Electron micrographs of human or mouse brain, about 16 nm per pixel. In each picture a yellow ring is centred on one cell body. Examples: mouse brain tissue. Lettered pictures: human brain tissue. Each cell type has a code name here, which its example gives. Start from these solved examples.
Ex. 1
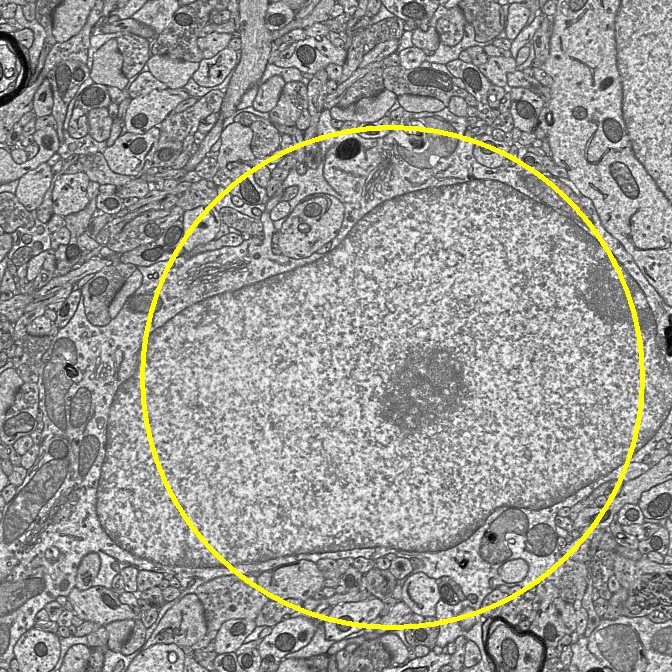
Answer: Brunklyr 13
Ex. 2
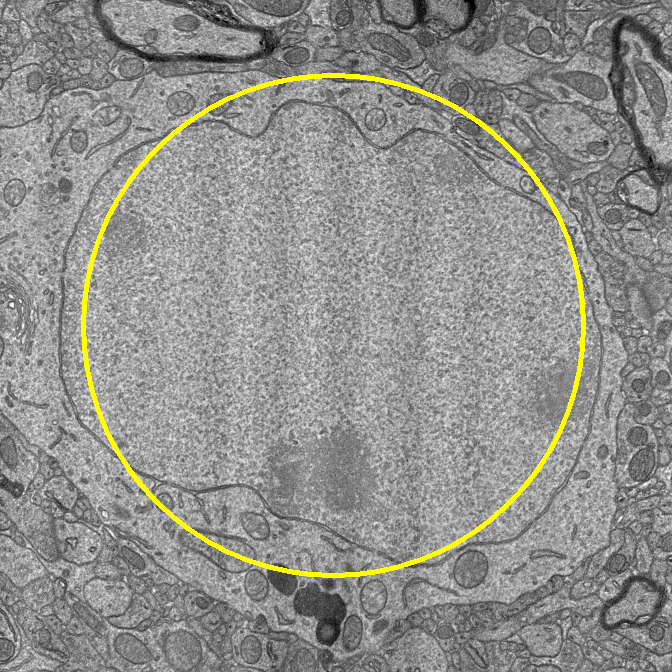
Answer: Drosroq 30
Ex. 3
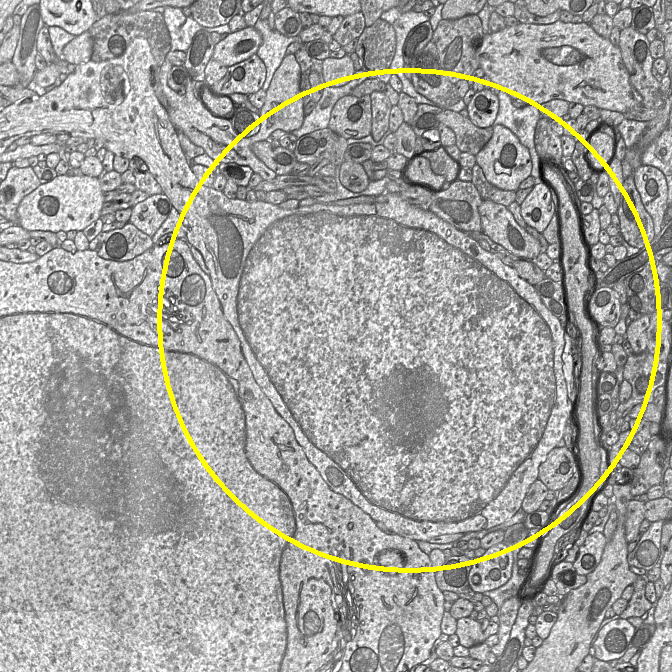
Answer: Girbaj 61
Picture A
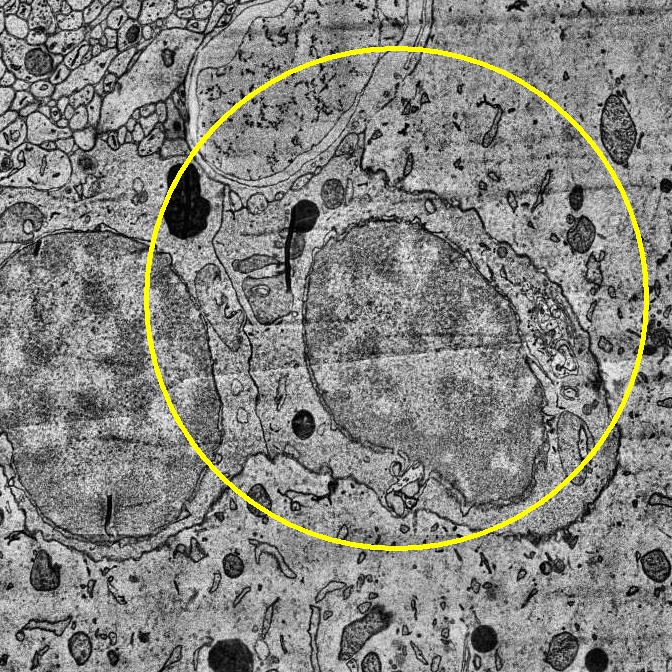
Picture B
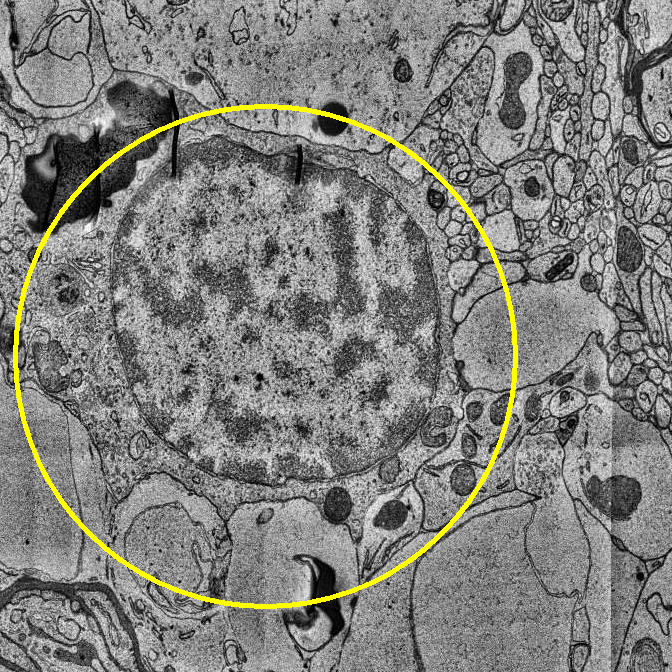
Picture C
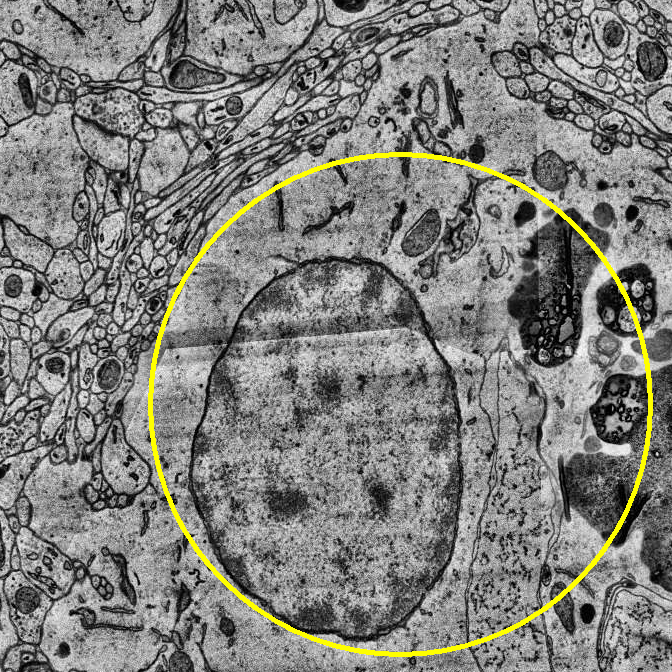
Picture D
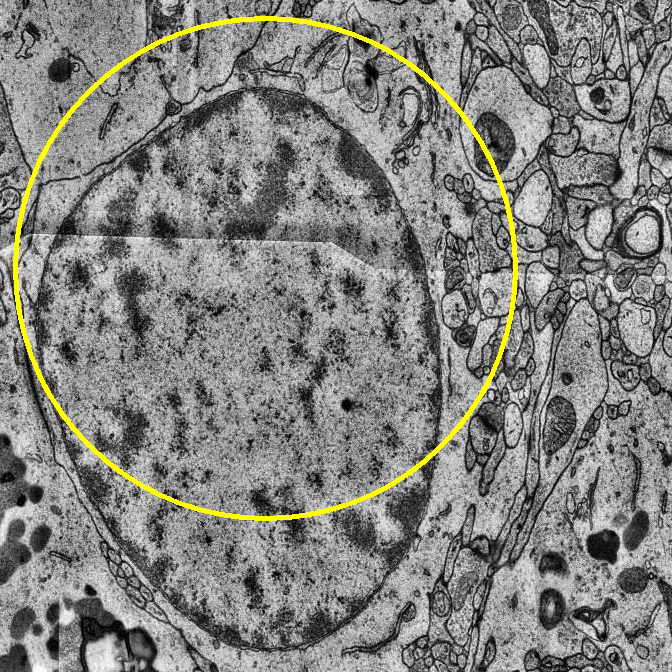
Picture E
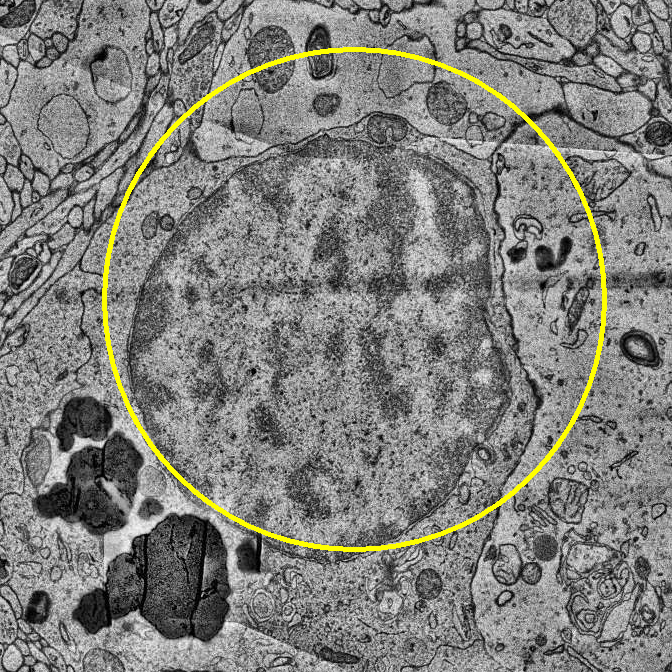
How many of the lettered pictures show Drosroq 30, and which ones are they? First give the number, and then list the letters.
0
